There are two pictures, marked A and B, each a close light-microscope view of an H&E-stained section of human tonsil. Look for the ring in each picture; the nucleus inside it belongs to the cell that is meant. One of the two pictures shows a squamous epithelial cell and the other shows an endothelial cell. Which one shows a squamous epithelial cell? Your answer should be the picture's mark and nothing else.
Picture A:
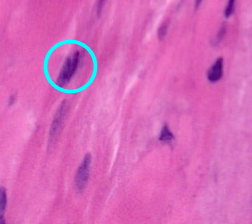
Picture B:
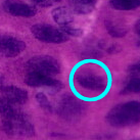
B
